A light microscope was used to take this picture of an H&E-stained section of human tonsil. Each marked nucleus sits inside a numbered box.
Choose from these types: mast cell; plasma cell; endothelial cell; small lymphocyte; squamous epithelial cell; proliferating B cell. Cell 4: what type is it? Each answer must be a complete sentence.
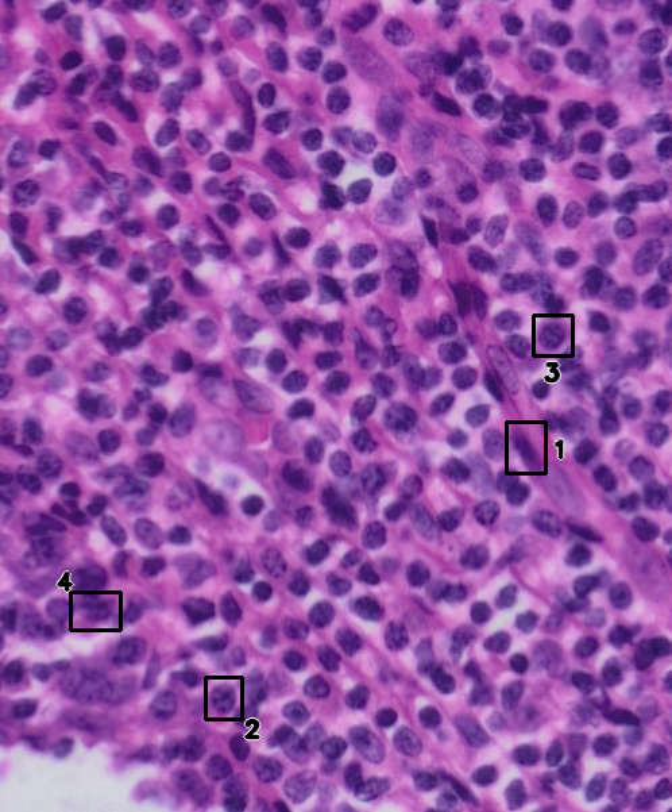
The numbered cell 4 is identified here as a squamous epithelial cell.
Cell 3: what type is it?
The correct label for cell 3 is a plasma cell.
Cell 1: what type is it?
Numbered cell 1 is an endothelial cell in this tissue section.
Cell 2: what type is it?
To a plasma cell belongs the nucleus marked 2.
